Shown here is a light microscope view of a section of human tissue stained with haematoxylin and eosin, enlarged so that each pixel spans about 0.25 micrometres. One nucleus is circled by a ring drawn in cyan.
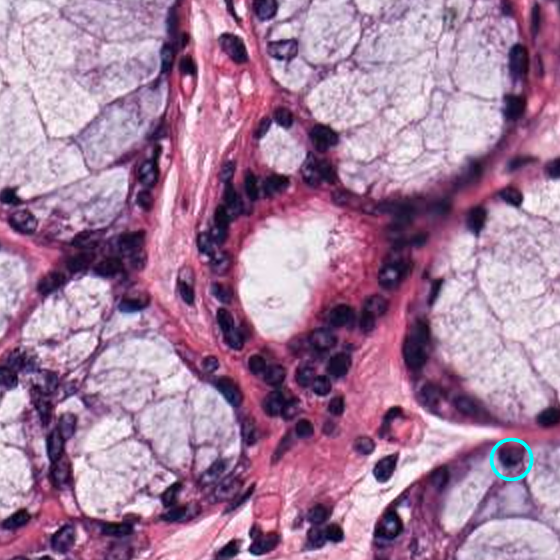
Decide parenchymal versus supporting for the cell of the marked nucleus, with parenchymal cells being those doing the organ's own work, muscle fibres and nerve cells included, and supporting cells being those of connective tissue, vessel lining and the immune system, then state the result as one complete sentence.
The marked nucleus is attributed to a parenchymal cell, namely a mucous gland cell.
